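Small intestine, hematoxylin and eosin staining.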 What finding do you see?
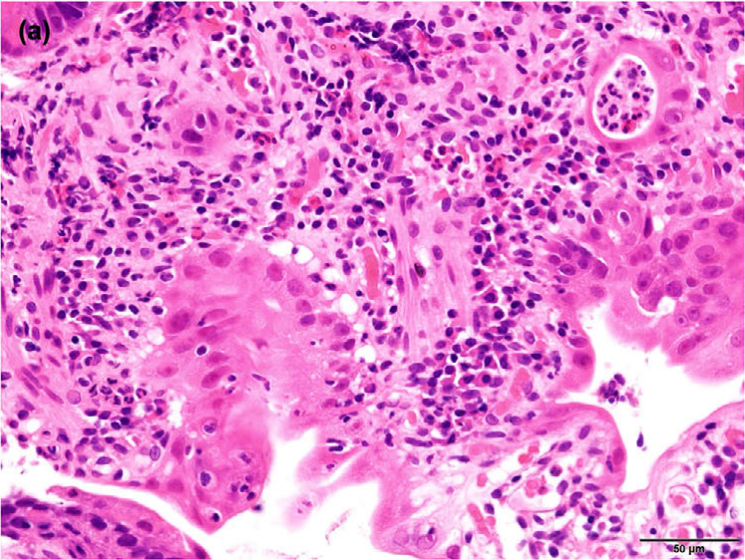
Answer: Inflammatory cell infiltration in the lamina propria.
